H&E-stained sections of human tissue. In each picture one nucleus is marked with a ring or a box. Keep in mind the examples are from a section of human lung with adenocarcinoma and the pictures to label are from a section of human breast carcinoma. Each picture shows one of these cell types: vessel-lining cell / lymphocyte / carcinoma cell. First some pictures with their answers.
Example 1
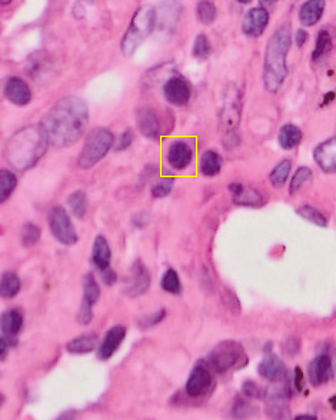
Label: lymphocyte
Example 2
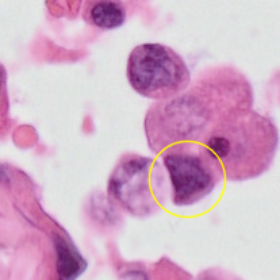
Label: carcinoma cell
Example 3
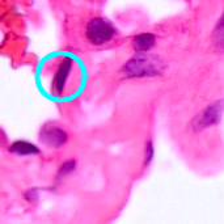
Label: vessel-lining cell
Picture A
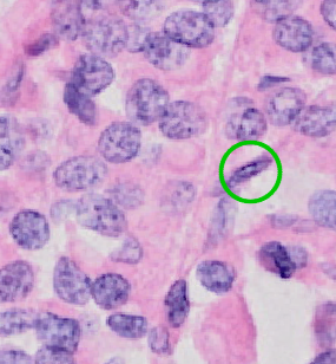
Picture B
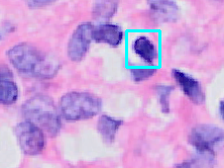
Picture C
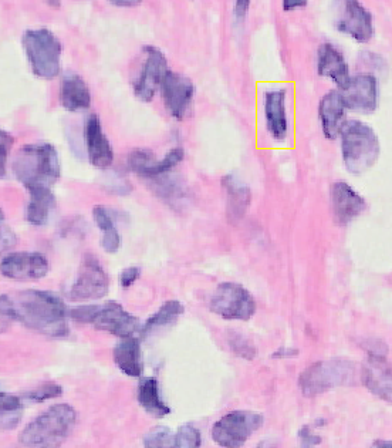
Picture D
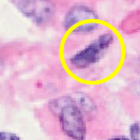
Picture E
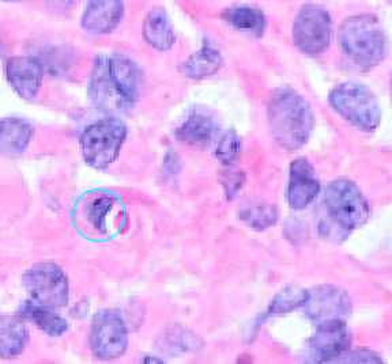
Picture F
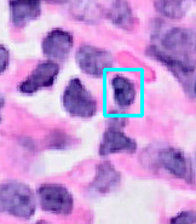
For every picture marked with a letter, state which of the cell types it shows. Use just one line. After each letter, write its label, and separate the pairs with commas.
A vessel-lining cell, B lymphocyte, C lymphocyte, D vessel-lining cell, E vessel-lining cell, F lymphocyte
